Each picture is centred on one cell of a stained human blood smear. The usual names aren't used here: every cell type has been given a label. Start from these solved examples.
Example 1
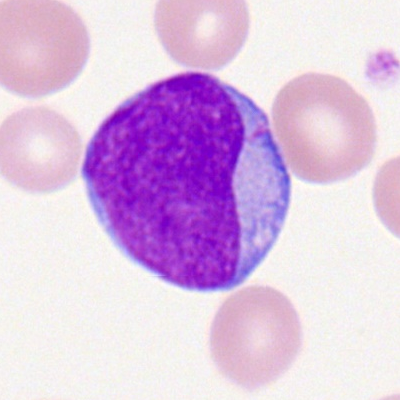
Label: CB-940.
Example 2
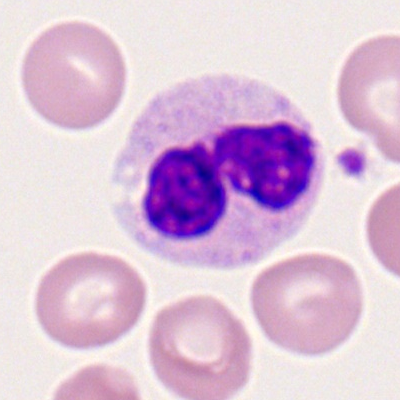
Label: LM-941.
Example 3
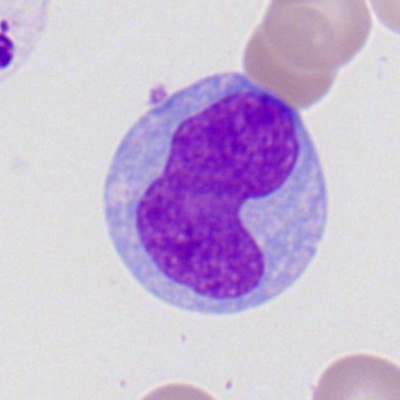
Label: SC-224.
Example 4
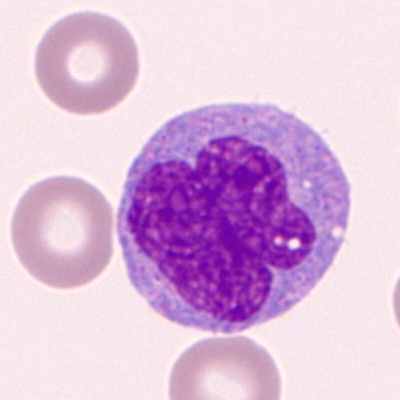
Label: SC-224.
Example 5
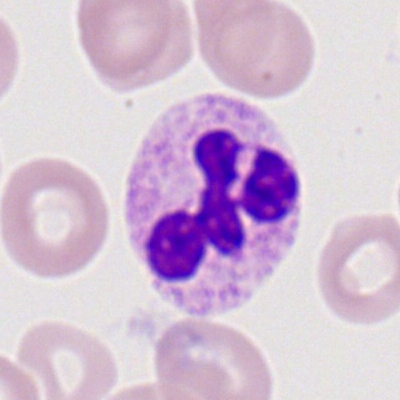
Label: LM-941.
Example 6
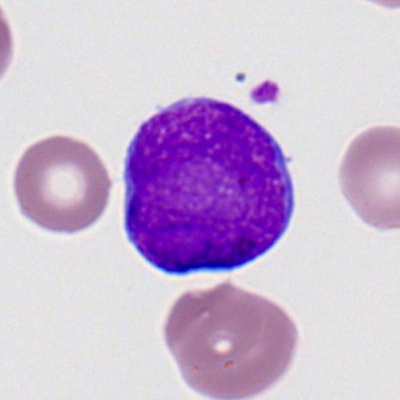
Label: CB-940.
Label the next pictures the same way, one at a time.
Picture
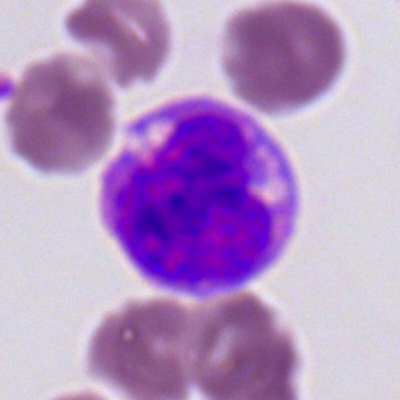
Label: SC-224.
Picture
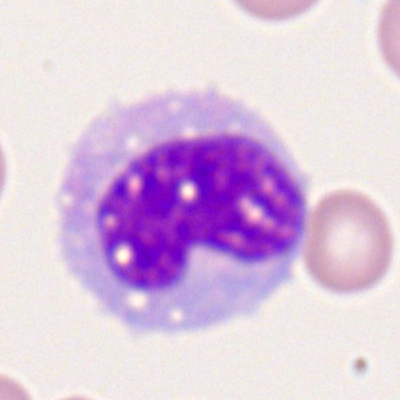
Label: SC-224.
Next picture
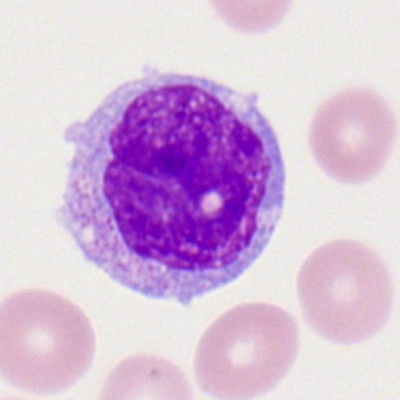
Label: SC-224.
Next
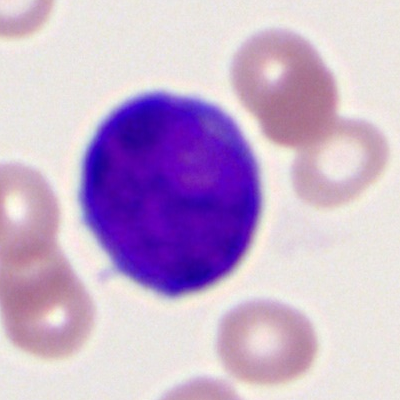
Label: CB-940.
